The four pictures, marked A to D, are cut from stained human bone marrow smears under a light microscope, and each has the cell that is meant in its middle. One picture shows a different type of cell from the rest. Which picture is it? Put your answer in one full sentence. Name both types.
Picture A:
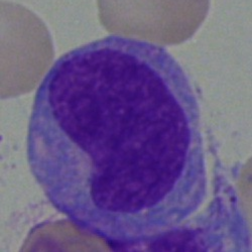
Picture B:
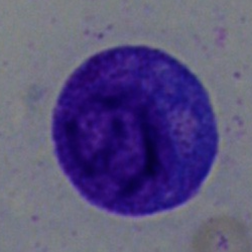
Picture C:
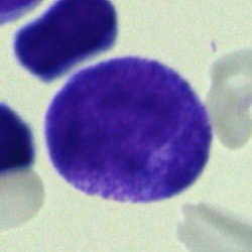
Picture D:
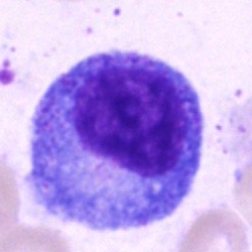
Picture A differs, because its cell is a monocyte and the rest are promyelocytes.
